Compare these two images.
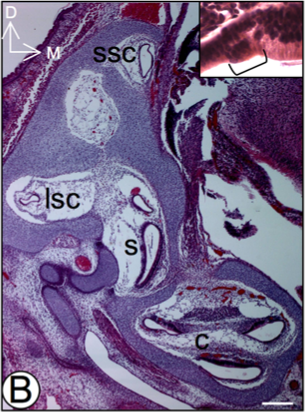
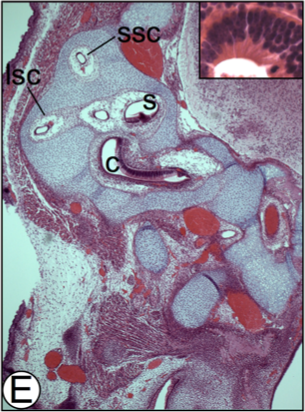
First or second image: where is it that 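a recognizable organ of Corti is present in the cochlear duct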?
The first image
